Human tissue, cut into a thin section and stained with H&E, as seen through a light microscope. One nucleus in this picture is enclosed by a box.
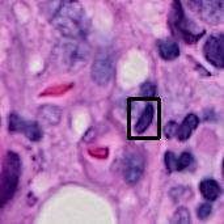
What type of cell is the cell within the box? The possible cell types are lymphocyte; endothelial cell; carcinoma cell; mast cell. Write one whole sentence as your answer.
In this tissue sample, the cell within the box is a lymphocyte.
